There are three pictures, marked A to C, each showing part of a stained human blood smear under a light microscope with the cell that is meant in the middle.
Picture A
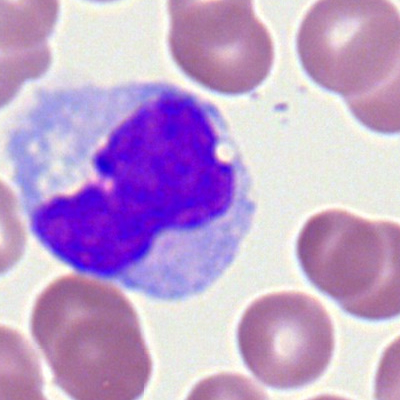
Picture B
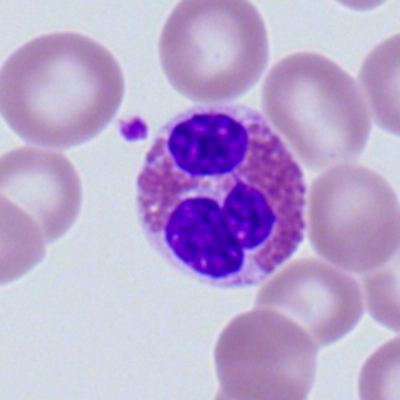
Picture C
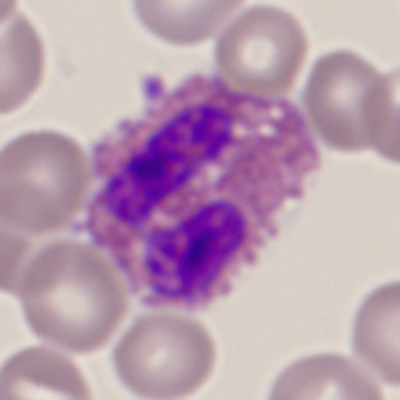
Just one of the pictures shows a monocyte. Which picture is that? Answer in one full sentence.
The picture with the monocyte is A.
